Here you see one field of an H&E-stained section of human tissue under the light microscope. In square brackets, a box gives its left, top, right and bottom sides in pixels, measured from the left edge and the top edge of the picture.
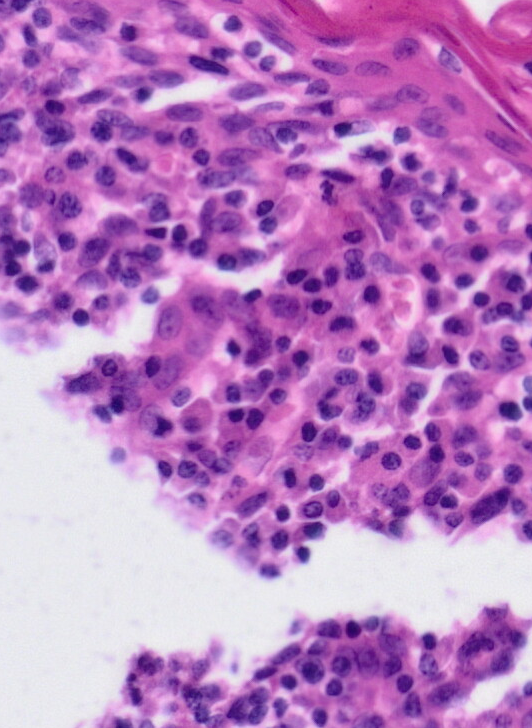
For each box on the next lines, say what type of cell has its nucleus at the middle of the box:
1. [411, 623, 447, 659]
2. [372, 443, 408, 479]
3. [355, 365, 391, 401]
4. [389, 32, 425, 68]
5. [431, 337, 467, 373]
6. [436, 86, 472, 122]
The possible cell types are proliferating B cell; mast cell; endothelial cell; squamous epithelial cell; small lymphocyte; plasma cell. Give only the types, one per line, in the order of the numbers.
plasma cell
plasma cell
plasma cell
squamous epithelial cell
plasma cell
squamous epithelial cell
